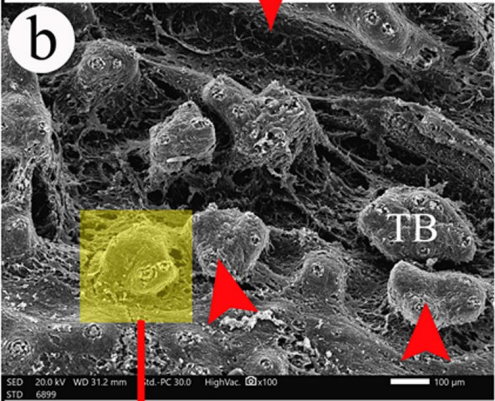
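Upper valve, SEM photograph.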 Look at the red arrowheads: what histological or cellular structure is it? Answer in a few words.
Highly elevated epithelial protrusions.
